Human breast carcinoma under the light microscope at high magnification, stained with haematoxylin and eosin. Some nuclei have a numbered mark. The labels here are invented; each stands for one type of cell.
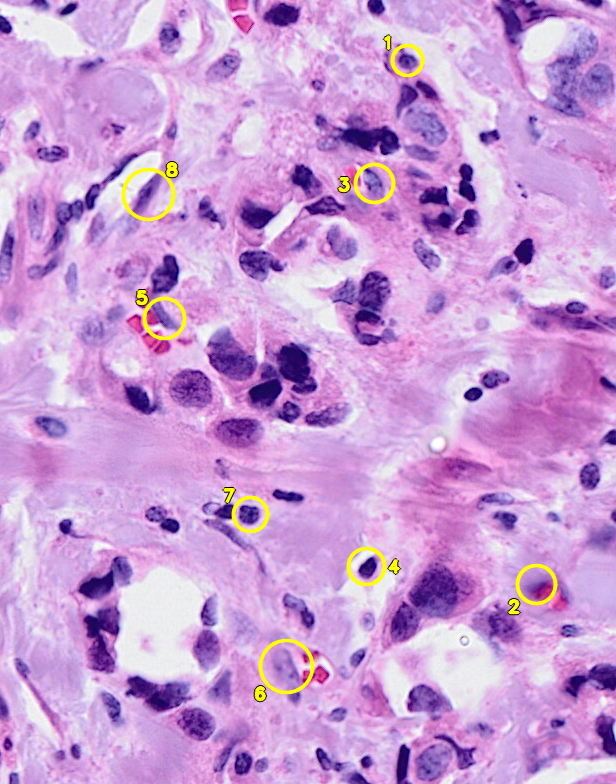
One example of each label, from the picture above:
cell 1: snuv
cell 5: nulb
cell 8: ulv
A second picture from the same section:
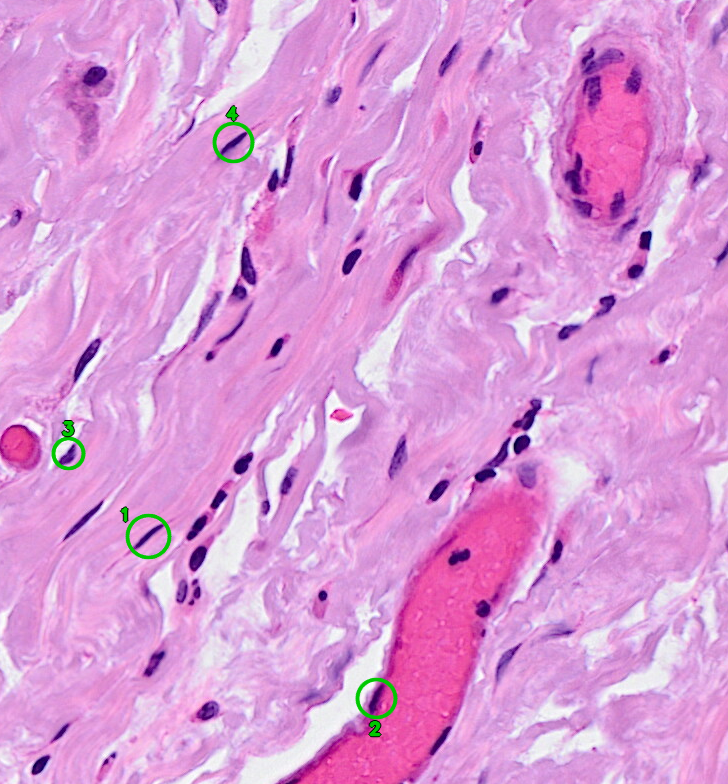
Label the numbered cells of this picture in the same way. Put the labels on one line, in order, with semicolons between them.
ulv; nulb; ulv; ulv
